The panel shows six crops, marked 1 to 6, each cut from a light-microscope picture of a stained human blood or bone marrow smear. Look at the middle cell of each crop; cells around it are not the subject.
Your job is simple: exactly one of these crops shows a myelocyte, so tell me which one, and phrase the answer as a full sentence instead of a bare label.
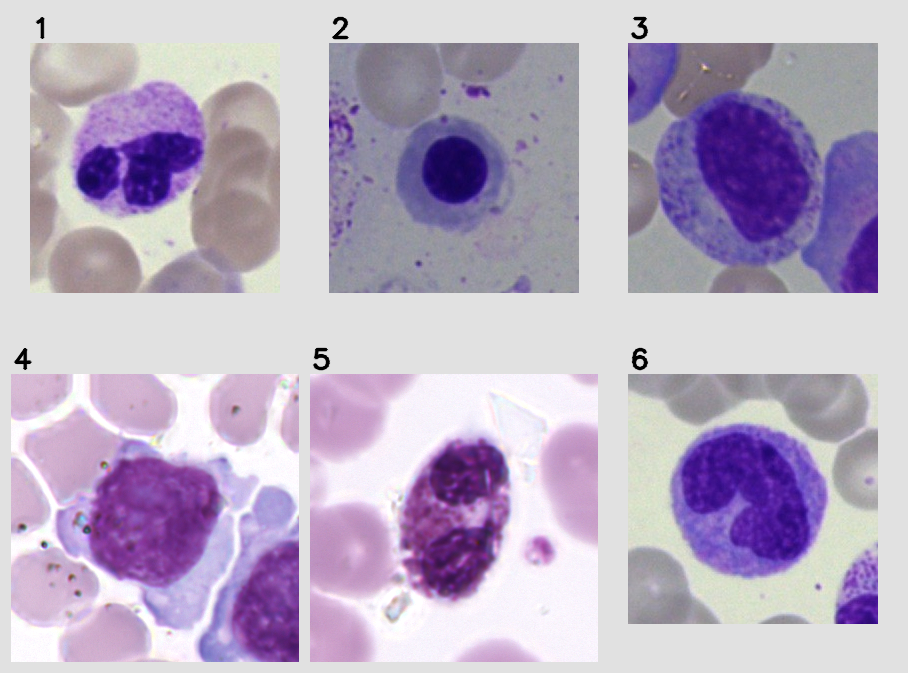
The crop bearing a myelocyte is crop 3.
